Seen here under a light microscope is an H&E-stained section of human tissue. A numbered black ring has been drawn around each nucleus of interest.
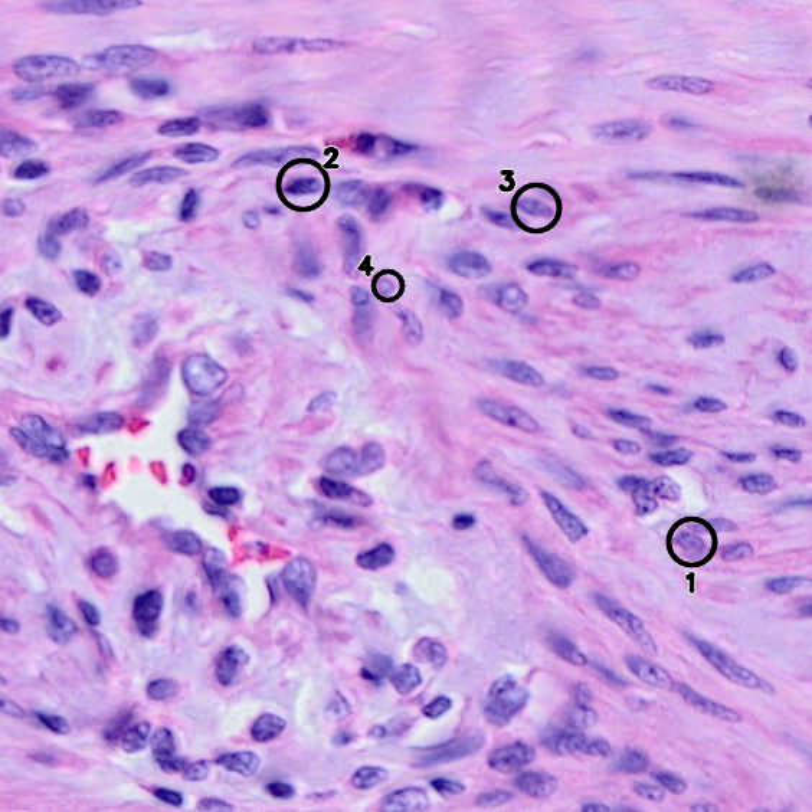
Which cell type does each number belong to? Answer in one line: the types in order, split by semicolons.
smooth muscle cell; lymphocyte; smooth muscle cell; smooth muscle cell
